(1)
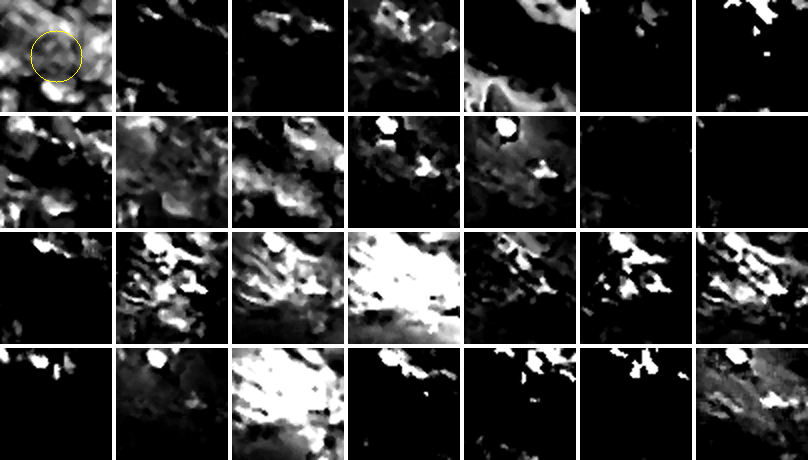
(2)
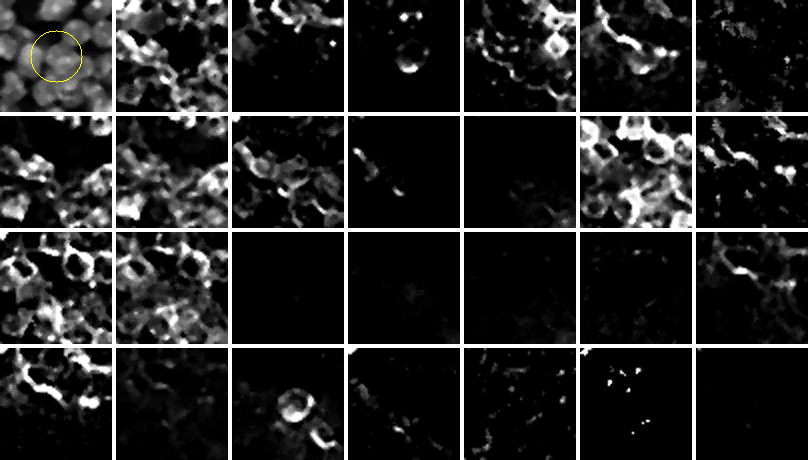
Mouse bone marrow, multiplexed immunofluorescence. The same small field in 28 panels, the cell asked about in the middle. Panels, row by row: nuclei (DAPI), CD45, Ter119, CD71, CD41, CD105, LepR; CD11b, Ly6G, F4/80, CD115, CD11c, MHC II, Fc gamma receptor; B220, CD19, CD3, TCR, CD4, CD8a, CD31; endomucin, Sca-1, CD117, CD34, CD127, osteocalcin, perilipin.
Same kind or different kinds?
Different: the first is a double-negative T cell, the second an erythroid progenitor (CFU-E).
